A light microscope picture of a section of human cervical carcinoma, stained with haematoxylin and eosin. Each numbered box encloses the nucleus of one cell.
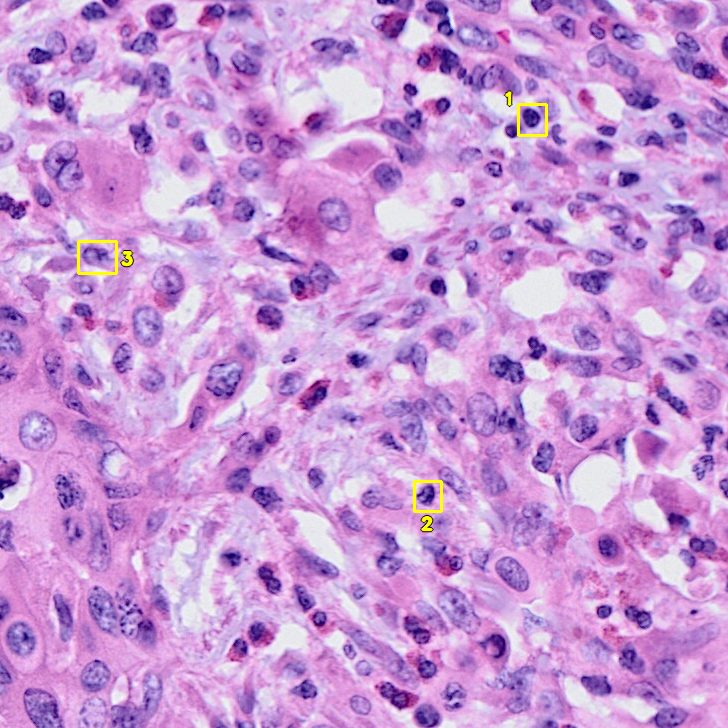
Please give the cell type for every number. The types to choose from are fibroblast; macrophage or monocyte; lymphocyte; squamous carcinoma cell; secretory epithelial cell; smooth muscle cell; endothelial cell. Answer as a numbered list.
1. lymphocyte
2. lymphocyte
3. macrophage or monocyte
